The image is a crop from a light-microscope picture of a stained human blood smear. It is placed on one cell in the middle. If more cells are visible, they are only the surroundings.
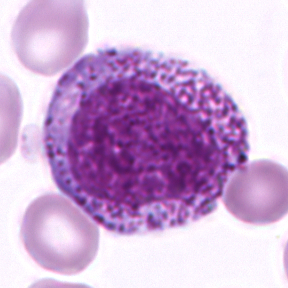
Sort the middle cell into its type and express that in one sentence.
In this crop, the cell at the very middle is a myelocyte.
